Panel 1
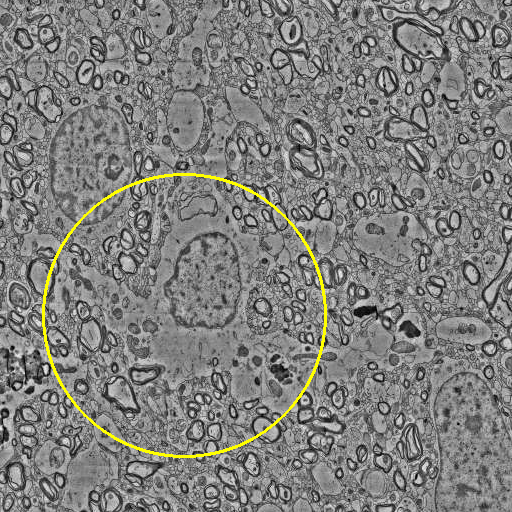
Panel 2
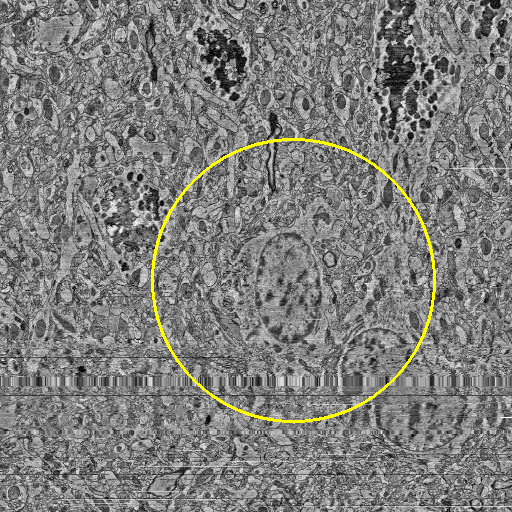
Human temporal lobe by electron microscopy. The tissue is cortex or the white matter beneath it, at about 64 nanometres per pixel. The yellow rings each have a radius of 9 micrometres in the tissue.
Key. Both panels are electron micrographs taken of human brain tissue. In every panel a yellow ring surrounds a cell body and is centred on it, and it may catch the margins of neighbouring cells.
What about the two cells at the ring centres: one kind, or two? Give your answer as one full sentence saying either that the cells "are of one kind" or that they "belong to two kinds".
Across Panels 1 and 2, the two cells at the ring centres are of one kind.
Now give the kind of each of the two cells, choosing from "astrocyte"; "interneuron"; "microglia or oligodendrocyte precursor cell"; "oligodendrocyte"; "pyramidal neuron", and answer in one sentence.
Both cells are the same kind, each one being an astrocyte.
